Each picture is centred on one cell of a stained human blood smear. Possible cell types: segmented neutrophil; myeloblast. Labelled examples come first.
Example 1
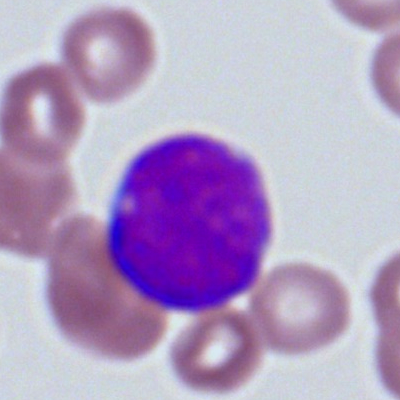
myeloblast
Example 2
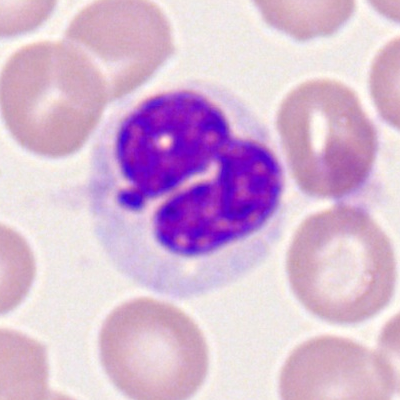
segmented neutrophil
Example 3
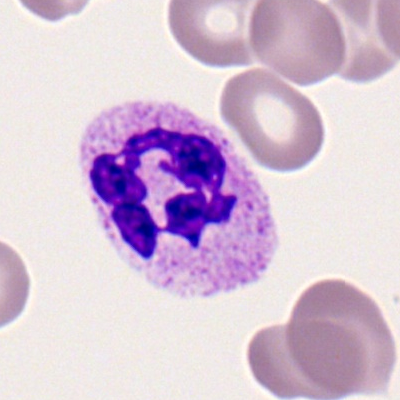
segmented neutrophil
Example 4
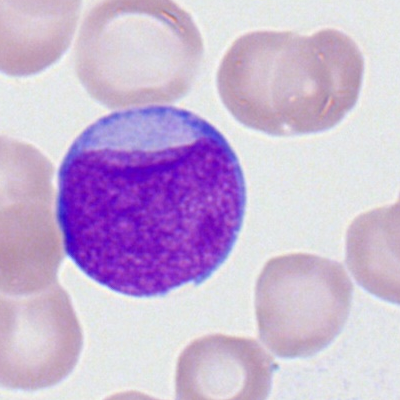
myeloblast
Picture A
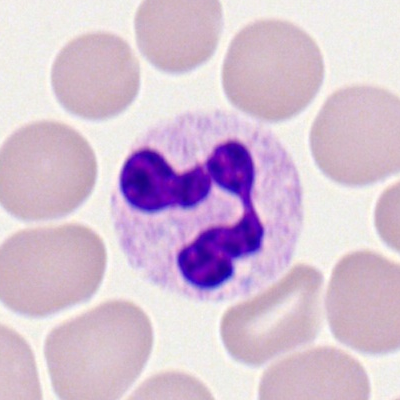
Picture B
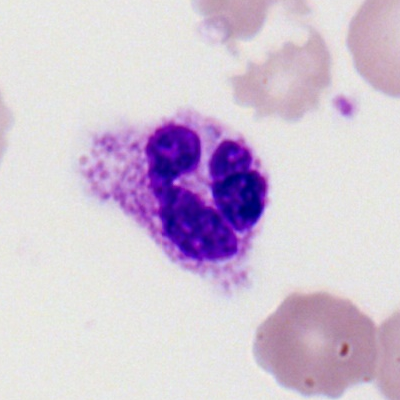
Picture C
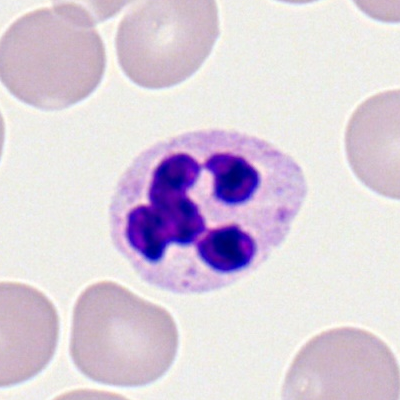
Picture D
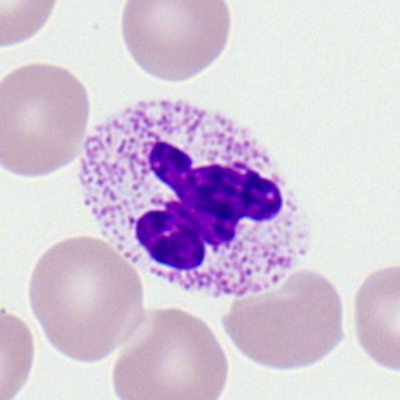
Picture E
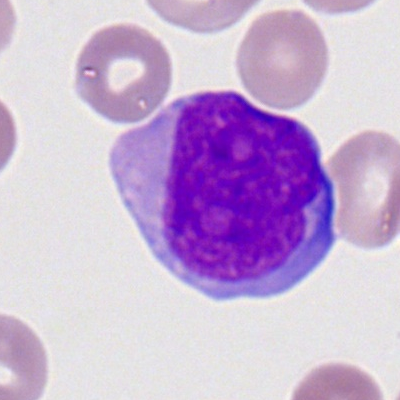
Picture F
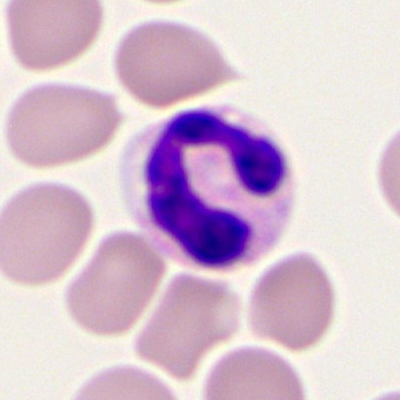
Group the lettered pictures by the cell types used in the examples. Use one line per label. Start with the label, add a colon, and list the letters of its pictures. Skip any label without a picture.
segmented neutrophil: A, B, C, D, F
myeloblast: E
